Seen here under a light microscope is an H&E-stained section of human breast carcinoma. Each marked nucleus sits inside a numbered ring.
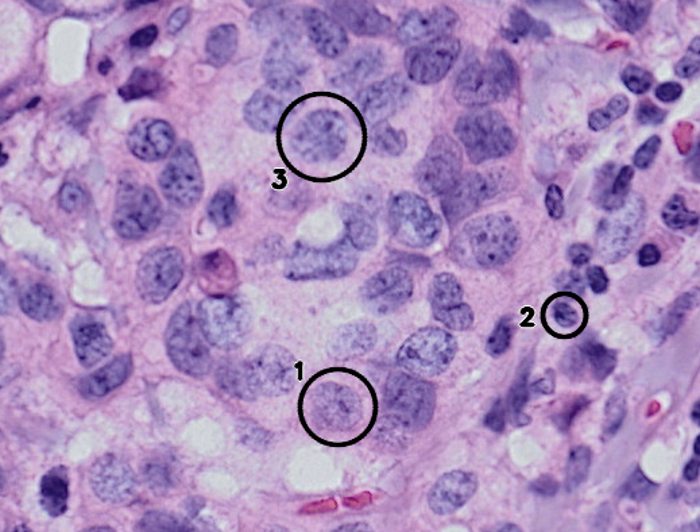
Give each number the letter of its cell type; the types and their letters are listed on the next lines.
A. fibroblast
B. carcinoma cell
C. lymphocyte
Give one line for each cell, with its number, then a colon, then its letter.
1: B
2: C
3: B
